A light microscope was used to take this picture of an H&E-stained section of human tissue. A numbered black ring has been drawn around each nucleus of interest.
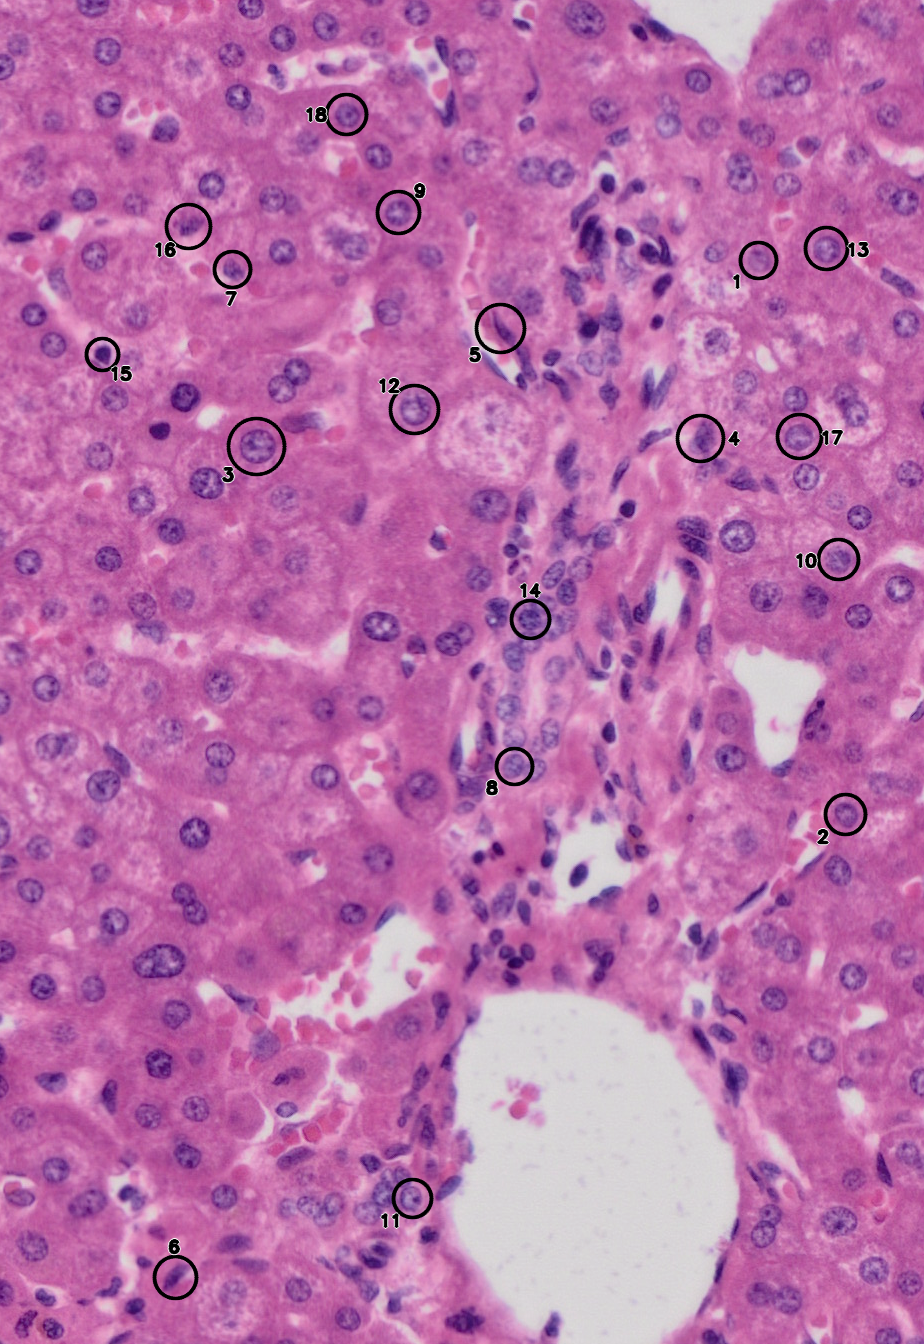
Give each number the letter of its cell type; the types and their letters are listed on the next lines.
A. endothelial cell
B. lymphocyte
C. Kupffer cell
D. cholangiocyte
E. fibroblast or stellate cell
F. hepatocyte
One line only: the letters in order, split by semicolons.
F; F; F; E; E; E; A; D; F; F; D; F; F; D; B; A; F; F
